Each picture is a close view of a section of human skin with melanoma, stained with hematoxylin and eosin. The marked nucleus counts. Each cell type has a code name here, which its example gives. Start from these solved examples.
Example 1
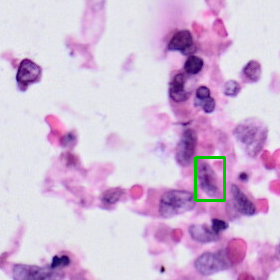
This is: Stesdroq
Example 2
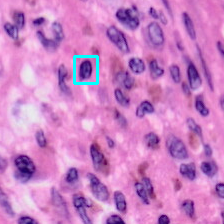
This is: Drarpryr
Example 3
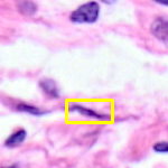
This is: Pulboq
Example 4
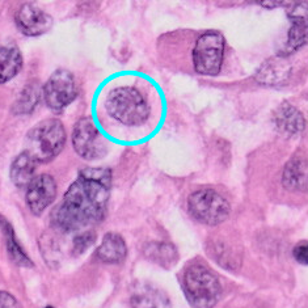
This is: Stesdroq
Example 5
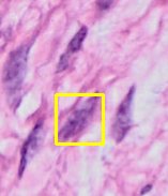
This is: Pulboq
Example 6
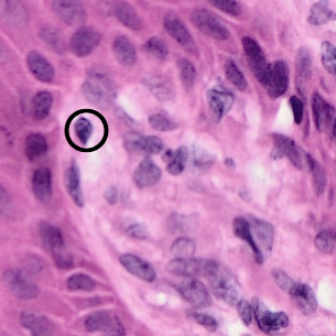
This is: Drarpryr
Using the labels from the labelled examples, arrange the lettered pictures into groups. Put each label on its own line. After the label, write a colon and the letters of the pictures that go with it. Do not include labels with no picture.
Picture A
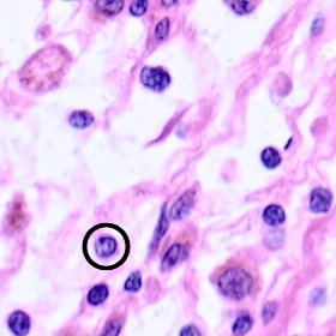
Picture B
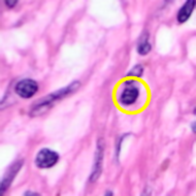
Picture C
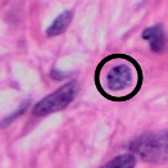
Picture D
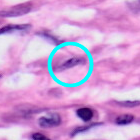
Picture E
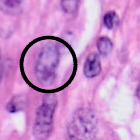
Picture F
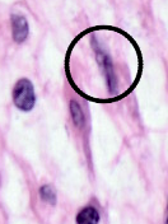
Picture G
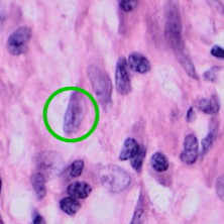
Stesdroq: E
Drarpryr: A, B, C
Pulboq: D, F, G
